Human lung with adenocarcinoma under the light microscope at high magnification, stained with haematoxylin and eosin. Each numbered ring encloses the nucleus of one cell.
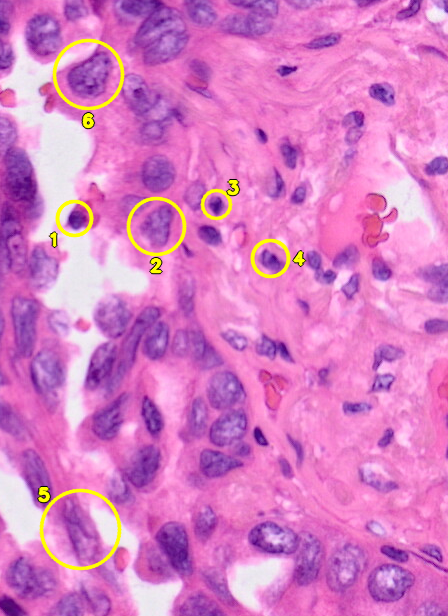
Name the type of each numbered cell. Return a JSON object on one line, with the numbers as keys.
{"1": "lymphocyte", "2": "carcinoma cell", "3": "lymphocyte", "4": "lymphocyte", "5": "carcinoma cell", "6": "carcinoma cell"}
